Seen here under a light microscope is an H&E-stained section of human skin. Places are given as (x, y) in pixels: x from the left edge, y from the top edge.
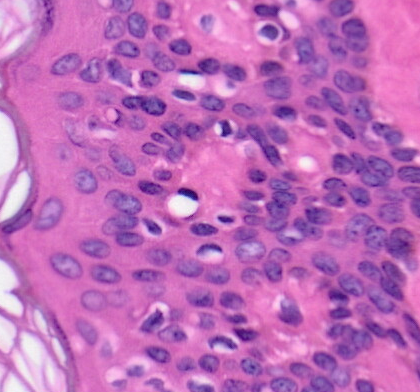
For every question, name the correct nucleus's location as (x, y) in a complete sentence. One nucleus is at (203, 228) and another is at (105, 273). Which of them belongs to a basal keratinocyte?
Of the pair, the nucleus positioned at (203, 228) is that of a basal keratinocyte.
